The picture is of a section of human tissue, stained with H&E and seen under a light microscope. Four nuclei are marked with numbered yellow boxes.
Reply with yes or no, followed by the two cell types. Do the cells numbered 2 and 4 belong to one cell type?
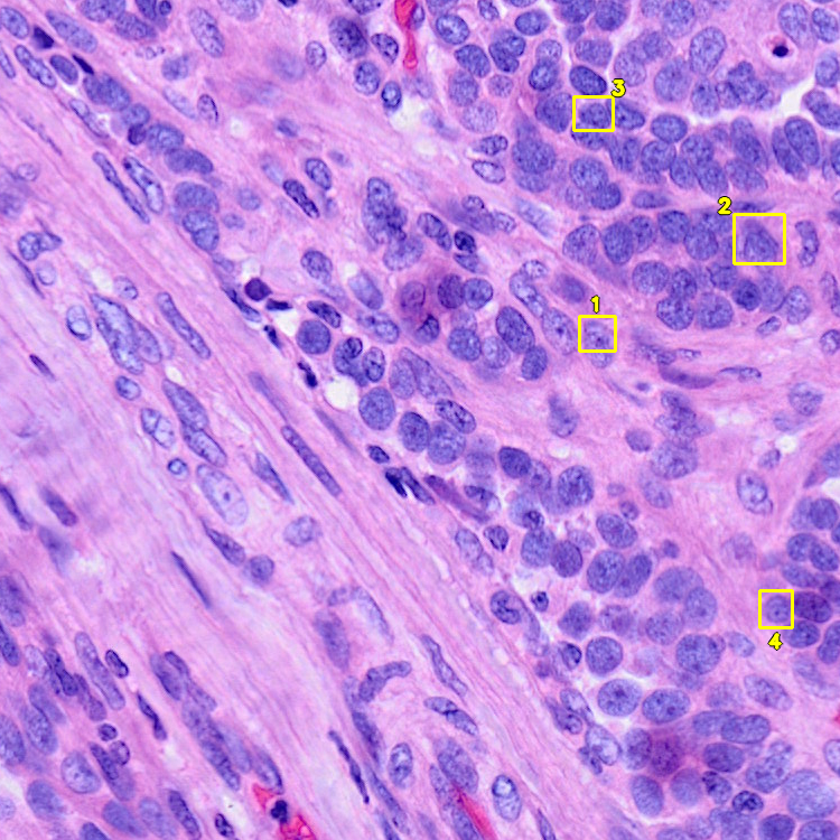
Yes, both are carcinoma cells.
